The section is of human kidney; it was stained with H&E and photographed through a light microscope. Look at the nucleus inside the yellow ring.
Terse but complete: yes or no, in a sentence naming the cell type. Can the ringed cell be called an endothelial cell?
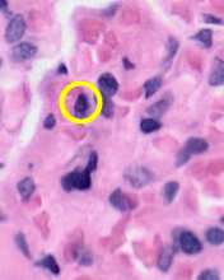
Yes, it is an endothelial cell that the ringed cell is.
